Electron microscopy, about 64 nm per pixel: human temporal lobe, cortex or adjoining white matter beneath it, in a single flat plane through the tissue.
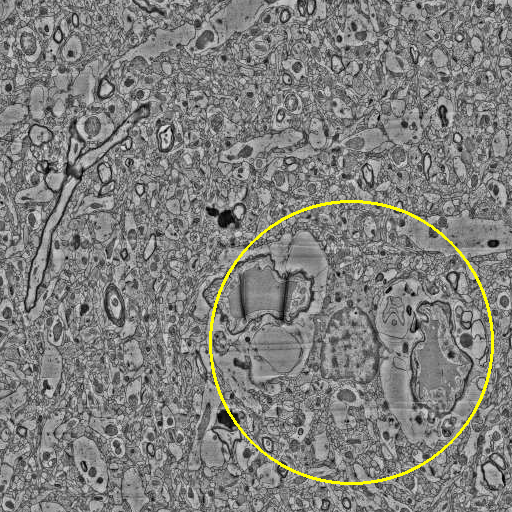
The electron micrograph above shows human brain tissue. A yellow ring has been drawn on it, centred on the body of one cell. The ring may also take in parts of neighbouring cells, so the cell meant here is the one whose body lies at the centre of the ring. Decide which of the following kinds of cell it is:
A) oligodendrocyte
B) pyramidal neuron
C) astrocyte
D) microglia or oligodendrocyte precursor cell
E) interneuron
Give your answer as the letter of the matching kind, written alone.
A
